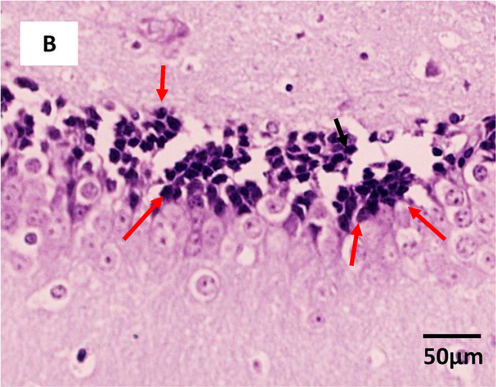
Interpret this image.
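This is the neuronal layer of the hippocampus, and here it looks badly disturbed. Many of the neurons are shrunken and stained nearly black, gathered in loose, irregular clumps with clear spaces between them. Below the dark clumps lie paler neurons with round nuclei, while the neuropil above and below is pale and fairly uniform.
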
